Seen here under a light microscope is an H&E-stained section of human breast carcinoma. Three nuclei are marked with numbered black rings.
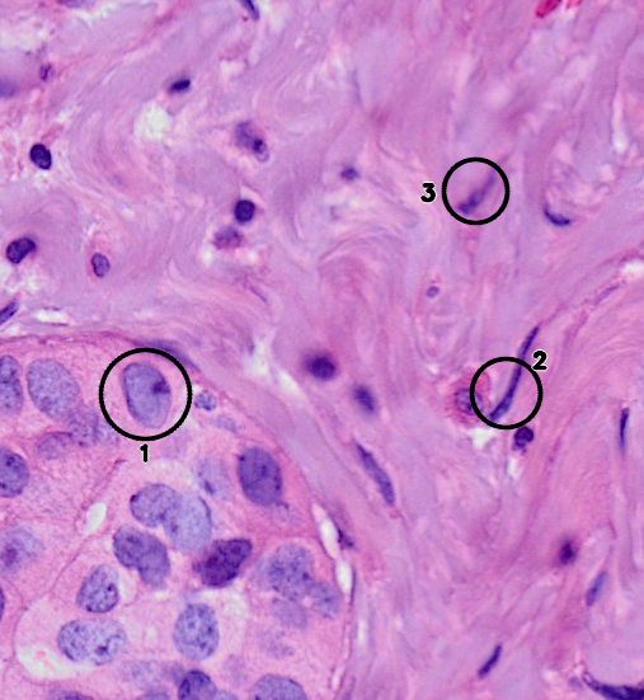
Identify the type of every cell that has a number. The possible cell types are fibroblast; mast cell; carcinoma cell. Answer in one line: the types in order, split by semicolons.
carcinoma cell; fibroblast; fibroblast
